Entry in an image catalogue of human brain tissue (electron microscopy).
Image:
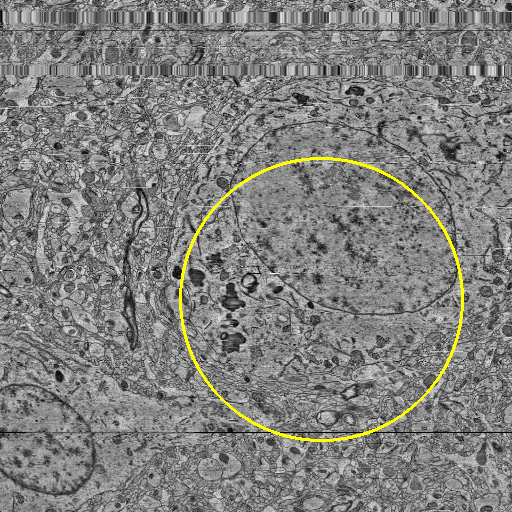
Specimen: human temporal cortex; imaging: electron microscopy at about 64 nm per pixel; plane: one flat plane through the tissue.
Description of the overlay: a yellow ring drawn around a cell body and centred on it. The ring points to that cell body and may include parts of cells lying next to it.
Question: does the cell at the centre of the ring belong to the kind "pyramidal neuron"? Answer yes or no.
yes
